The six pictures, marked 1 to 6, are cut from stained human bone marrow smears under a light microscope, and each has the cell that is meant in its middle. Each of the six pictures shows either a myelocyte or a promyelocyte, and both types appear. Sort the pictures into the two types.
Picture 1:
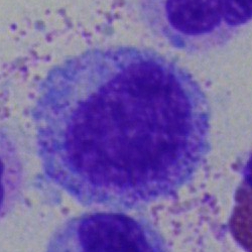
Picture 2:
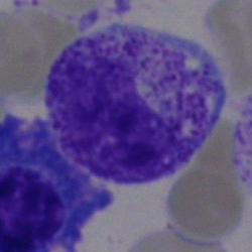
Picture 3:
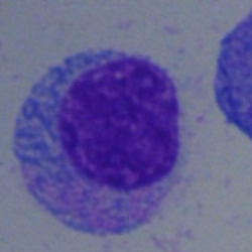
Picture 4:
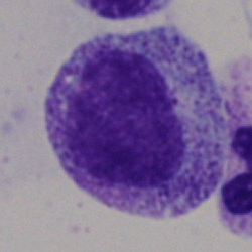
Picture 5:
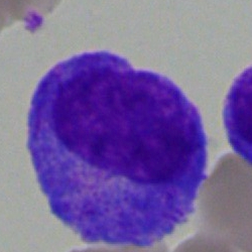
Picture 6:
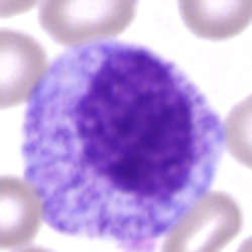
1: promyelocyte
2: myelocyte
3: myelocyte
4: myelocyte
5: promyelocyte
6: promyelocyte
